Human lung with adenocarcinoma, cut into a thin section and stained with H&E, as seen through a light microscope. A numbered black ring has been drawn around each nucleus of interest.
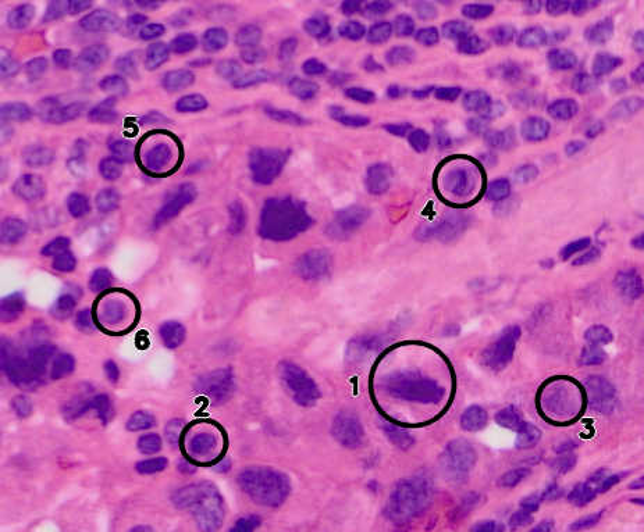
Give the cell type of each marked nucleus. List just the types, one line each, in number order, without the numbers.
carcinoma cell
lymphocyte
carcinoma cell
lymphocyte
lymphocyte
lymphocyte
